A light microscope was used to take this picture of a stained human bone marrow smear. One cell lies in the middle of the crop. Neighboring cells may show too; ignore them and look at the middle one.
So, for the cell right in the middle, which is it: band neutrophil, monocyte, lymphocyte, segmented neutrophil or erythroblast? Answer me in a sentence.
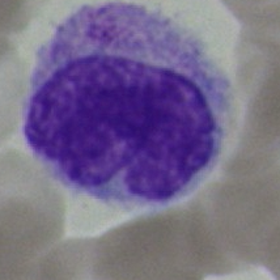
The middle of this crop holds a monocyte.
